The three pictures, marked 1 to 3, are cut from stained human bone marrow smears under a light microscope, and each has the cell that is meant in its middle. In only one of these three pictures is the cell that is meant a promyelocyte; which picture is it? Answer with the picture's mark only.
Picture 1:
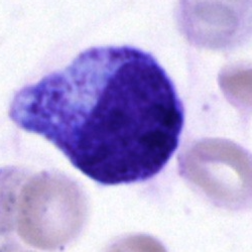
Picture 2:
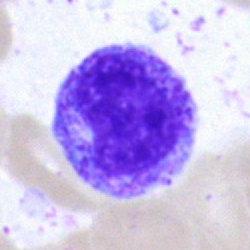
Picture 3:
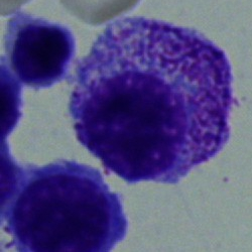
1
